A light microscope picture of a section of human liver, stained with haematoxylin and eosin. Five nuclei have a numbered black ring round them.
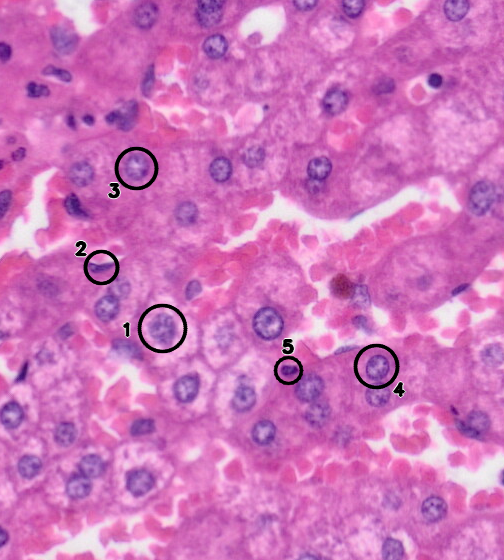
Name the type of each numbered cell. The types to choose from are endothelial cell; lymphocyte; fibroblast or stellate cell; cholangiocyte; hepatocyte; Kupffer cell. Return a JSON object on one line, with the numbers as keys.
{"1": "hepatocyte", "2": "endothelial cell", "3": "hepatocyte", "4": "hepatocyte", "5": "fibroblast or stellate cell"}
